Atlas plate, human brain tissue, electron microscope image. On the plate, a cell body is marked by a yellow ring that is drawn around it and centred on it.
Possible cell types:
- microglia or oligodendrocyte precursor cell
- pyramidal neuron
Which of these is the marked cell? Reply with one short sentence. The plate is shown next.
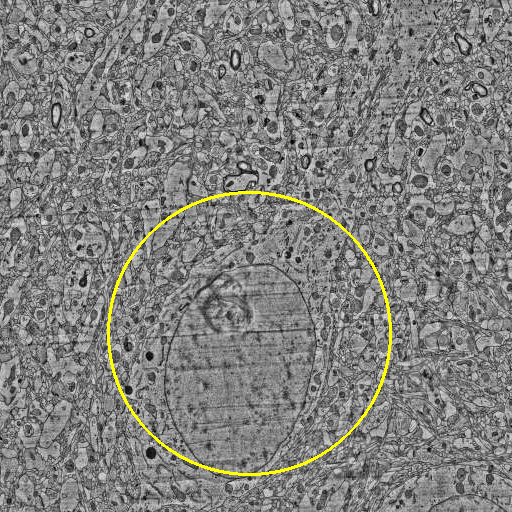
The marked cell is a pyramidal neuron.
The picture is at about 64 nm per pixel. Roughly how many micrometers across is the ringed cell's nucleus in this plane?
In this plane, roughly 14 by 9 micrometres.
